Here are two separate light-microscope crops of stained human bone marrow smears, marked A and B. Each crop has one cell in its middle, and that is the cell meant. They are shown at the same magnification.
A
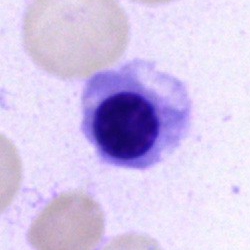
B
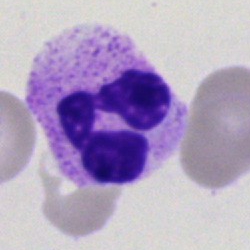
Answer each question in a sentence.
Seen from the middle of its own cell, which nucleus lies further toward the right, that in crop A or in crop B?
The nucleus in crop B lies further toward the right of its cell.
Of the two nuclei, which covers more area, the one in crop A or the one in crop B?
The nucleus in crop B is larger, with about 2.5 times the area of the one in crop A.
